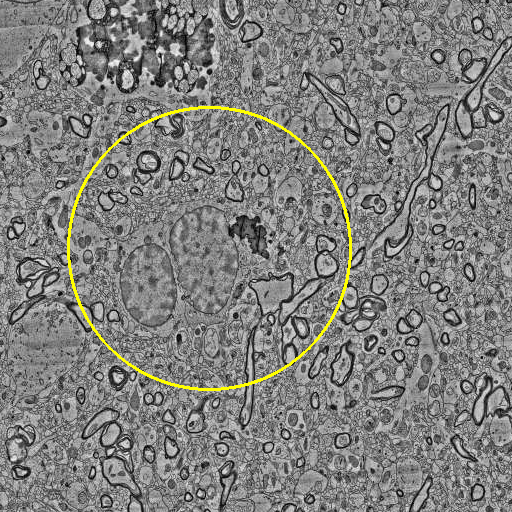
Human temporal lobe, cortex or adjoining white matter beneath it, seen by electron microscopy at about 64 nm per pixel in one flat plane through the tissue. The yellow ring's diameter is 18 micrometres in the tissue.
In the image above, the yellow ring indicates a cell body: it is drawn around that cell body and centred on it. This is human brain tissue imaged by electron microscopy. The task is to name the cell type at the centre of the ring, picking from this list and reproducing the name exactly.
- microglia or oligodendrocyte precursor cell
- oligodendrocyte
oligodendrocyte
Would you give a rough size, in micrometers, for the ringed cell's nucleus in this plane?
Roughly 7 by 5 micrometres is the size of the nucleus in this plane.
